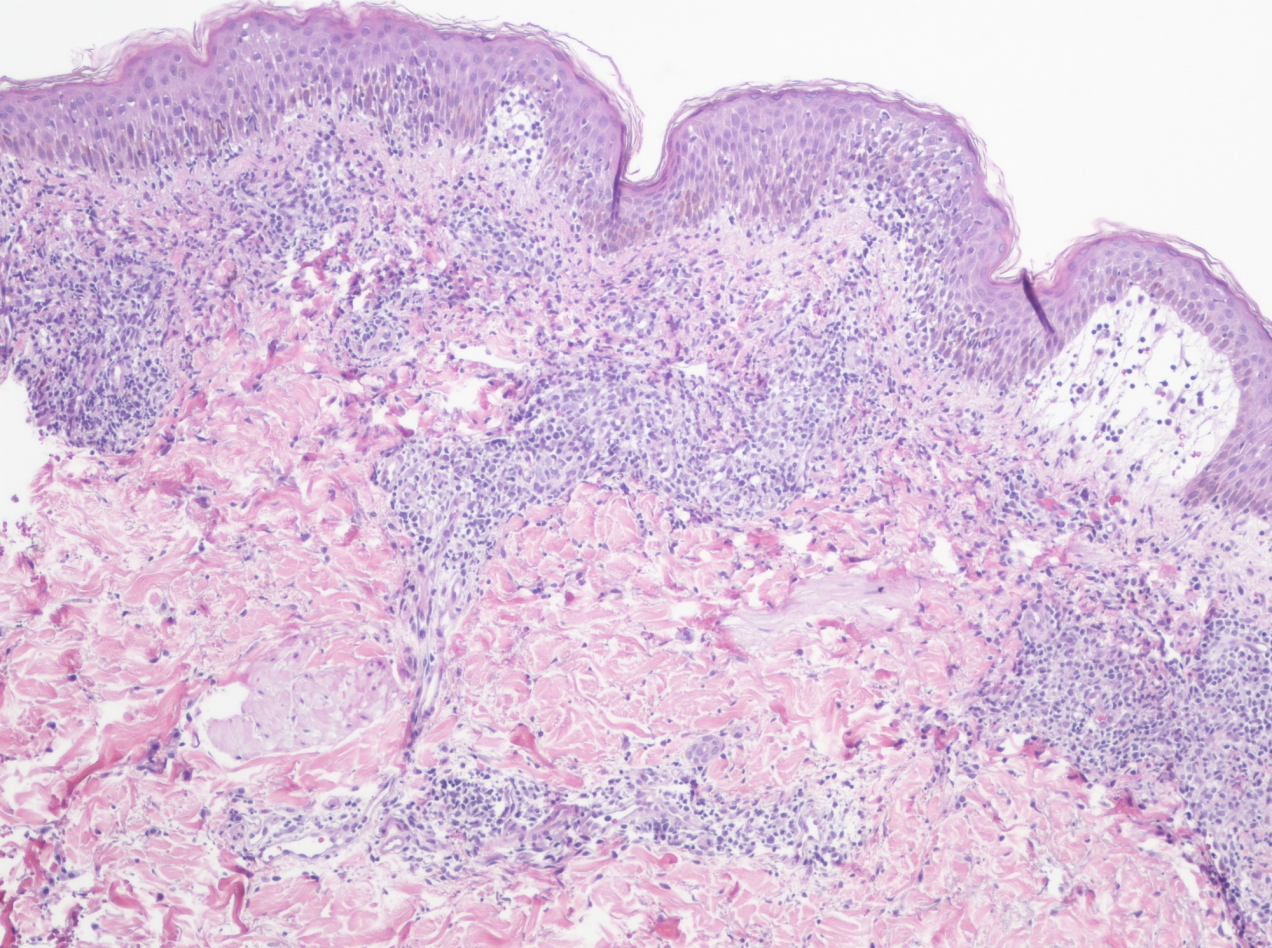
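This is skin, with a stratified squamous epidermis over a dermis of pink collagen bundles. Dense collections of inflammatory cells sit in the upper dermis and gather around small vessels deeper in the dermis. Most of these cells are small, with round, dark nuclei and little cytoplasm. Just beneath the epidermis there are pale, loose, swollen areas.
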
